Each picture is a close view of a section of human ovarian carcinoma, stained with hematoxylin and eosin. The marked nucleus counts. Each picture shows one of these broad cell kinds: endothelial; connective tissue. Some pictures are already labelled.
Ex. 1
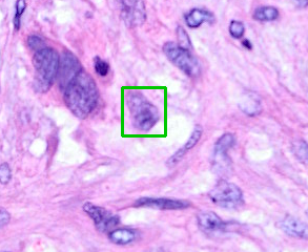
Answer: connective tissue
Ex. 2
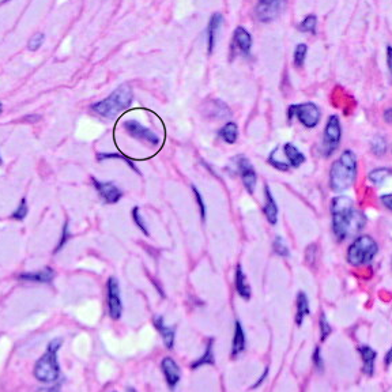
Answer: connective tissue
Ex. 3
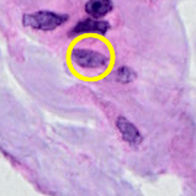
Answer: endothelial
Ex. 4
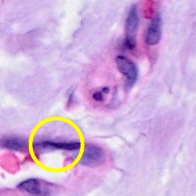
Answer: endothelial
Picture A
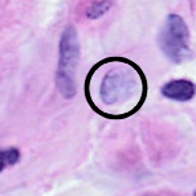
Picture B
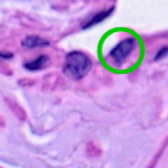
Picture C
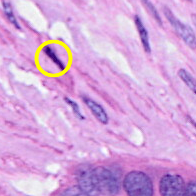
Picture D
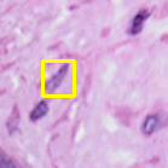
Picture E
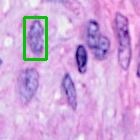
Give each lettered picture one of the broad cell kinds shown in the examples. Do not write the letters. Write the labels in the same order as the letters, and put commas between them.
connective tissue, endothelial, connective tissue, connective tissue, connective tissue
